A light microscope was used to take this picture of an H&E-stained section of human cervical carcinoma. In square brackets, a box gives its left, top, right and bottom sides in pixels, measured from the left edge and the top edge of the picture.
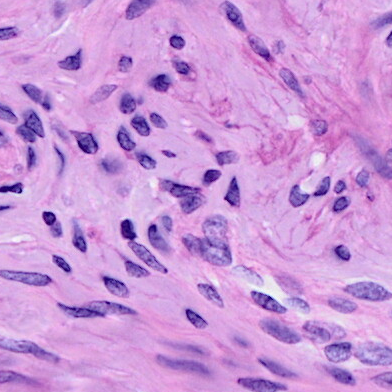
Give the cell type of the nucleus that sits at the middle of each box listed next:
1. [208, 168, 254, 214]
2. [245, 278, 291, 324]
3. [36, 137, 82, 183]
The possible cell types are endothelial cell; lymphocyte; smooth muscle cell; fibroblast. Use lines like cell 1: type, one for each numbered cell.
cell 1: fibroblast
cell 2: endothelial cell
cell 3: fibroblast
